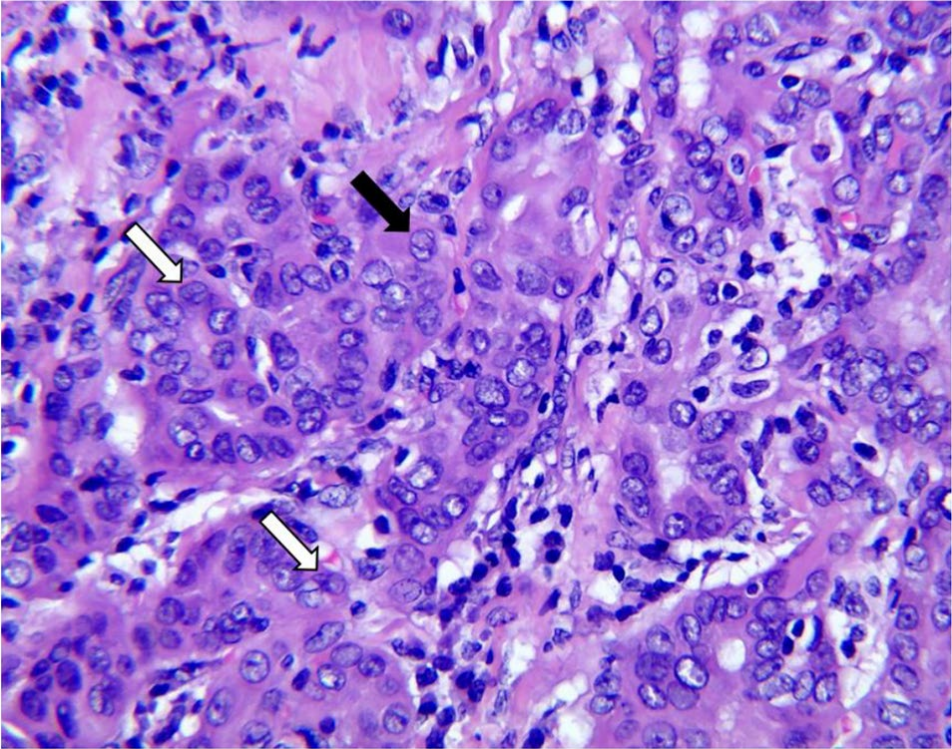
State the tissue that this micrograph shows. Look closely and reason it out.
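Papillary carcinoma. Crowded epithelial cells with large, pale, overlapping oval nuclei. Tumour cells form nests and cords separated by thin strands of stroma.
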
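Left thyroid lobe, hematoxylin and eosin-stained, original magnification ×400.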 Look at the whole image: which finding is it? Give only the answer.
Enlarged nuclei and ground-glass chromatin.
